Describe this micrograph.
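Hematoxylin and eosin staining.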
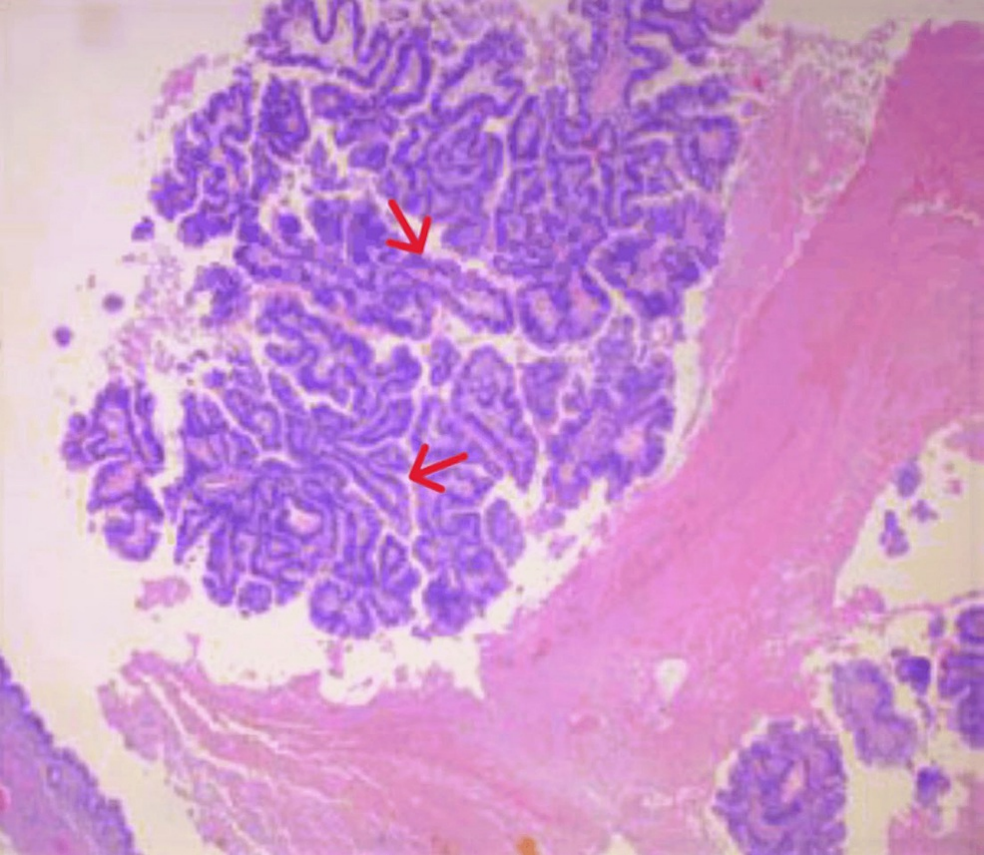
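A papillary neoplasm made of densely branching fronds lined by dark purple epithelium crowded with nuclei. Each frond has a slender pale pink core on which the epithelium rests. The fronds are separated by narrow clefts and form a large complex mass. Beside the mass lies a broad band of pink, loosely fibrillar material, and smaller papillary fragments appear at the lower right.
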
